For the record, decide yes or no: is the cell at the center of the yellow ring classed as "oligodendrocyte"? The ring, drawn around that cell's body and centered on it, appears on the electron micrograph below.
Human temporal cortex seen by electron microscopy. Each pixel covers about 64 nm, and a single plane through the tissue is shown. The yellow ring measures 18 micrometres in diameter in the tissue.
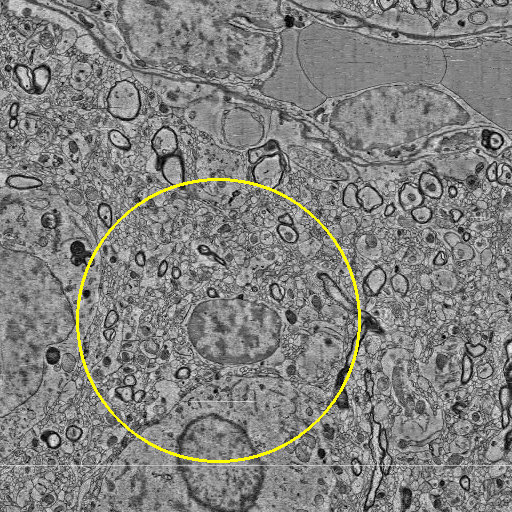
no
